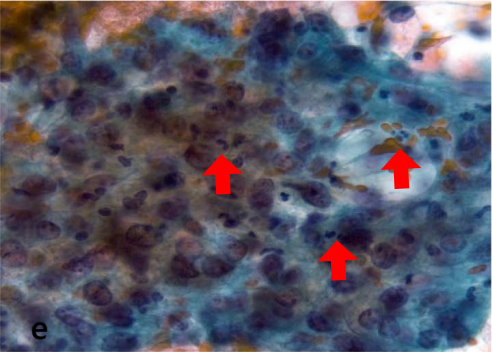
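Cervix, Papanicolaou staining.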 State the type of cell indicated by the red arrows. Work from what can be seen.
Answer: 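Small dark, lobed or fragmented nuclei lie scattered among the larger tumour cells. The marked cells are much smaller than the surrounding cluster cells. So: neutrophils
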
